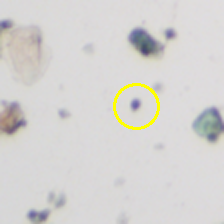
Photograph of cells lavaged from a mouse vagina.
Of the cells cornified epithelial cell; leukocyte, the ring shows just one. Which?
The ring shows a leukocyte.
